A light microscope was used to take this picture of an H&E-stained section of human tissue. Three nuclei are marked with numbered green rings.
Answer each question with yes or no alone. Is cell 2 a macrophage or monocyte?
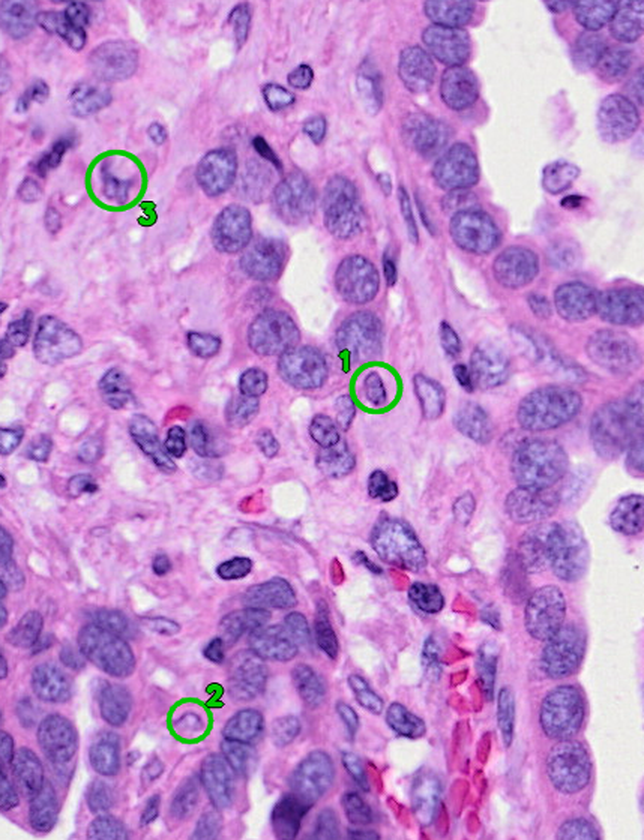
no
